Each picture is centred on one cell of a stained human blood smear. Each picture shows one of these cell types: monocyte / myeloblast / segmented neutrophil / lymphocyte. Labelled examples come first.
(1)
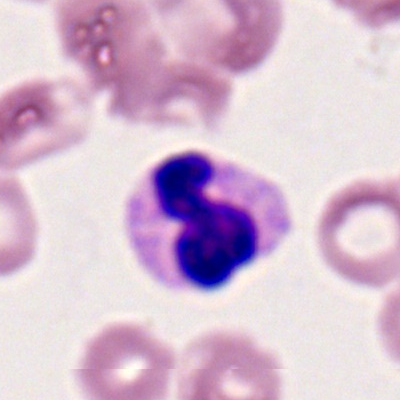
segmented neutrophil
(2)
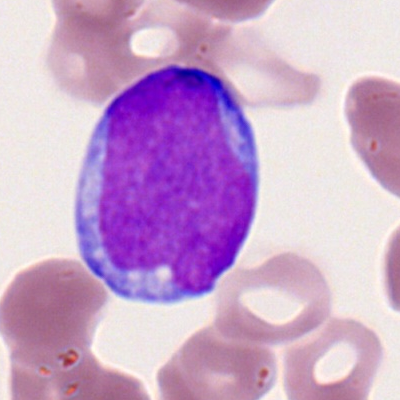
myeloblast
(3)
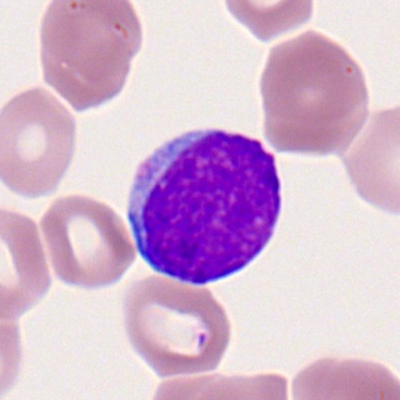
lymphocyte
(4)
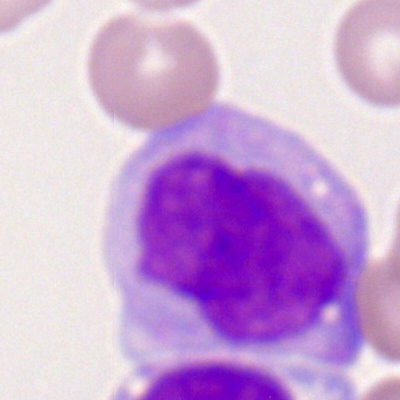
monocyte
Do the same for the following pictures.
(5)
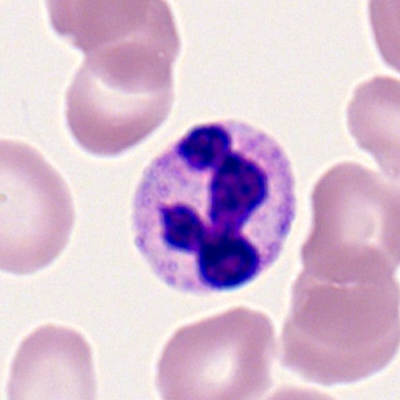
segmented neutrophil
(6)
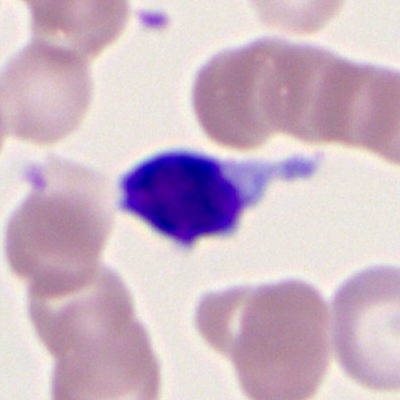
lymphocyte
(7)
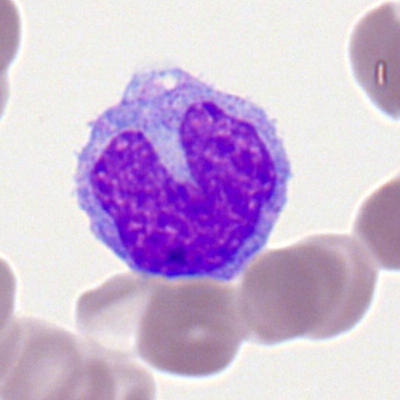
monocyte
